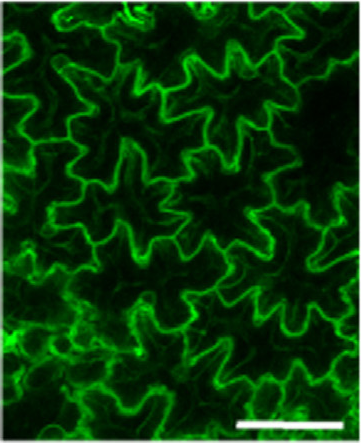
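Leaf epidermis seen face-on, with epidermal pavement cells forming a continuous single sheet. Each cell has a deeply lobed, wavy outline, and the lobes of neighbouring cells interlock like jigsaw pieces. Some outlines appear doubled or thickened where the peripheral layers of adjacent cells lie side by side. Cell sizes vary moderately across the field.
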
